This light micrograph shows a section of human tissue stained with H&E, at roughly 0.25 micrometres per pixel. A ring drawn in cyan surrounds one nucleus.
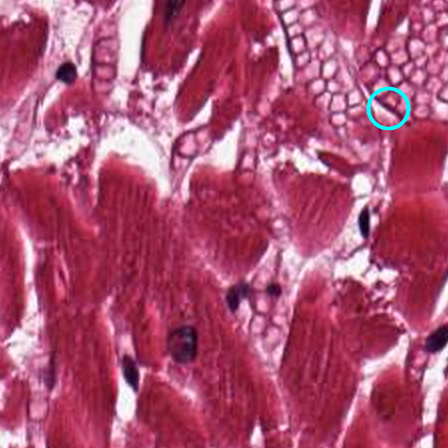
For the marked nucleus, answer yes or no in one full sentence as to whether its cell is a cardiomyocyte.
No, the owner of the marked nucleus is a supporting cell, not a cardiomyocyte.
